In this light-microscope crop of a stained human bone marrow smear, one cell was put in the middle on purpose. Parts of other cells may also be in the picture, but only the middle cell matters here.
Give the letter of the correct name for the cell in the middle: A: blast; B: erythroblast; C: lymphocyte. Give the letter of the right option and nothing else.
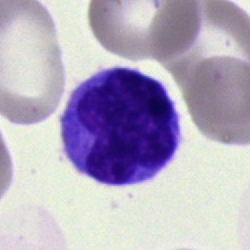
C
